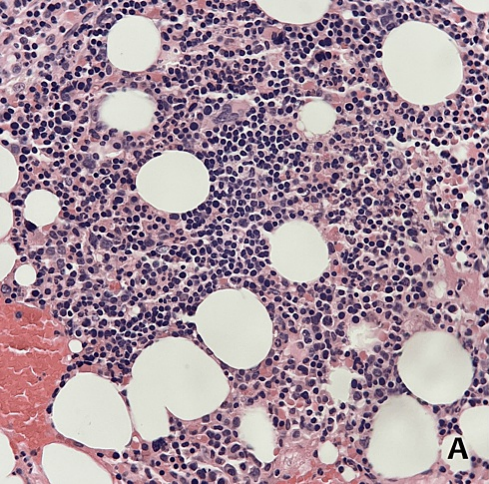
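This section of bone marrow is highly cellular, with sheets of small cells between many round, clear fat spaces of different sizes. Most of the cells have small, round, dark purple nuclei and only a little cytoplasm. Scattered among them are cells with pinker cytoplasm and some strands of pink stroma. A pool of red blood cells lies at the lower left edge.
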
